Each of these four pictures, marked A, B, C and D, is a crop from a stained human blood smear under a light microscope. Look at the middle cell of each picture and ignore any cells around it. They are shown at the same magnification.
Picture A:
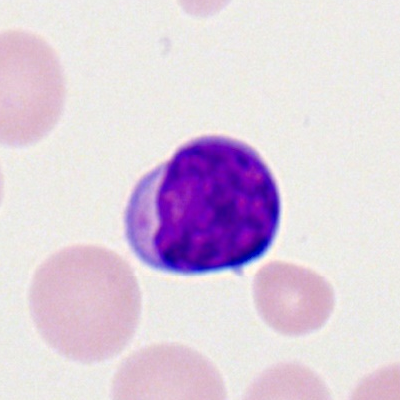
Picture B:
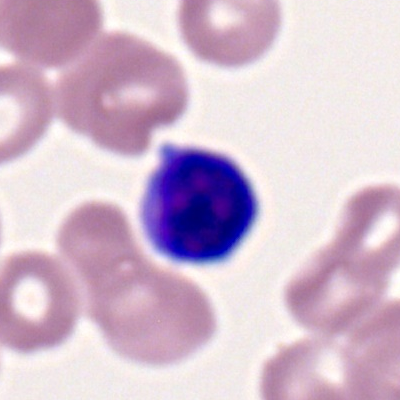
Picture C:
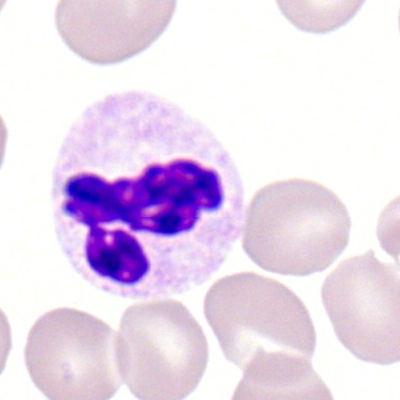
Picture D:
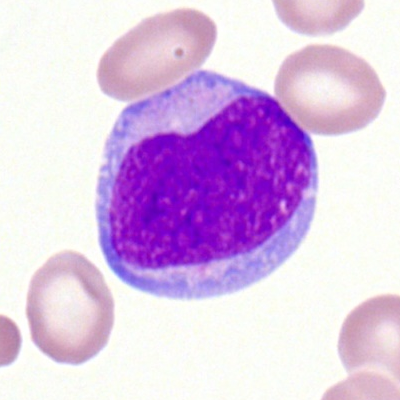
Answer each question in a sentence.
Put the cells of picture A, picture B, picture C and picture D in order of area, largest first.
From the largest down, the order is D, C, A, B.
